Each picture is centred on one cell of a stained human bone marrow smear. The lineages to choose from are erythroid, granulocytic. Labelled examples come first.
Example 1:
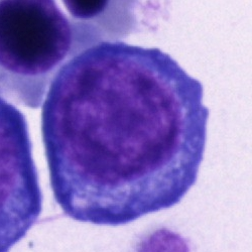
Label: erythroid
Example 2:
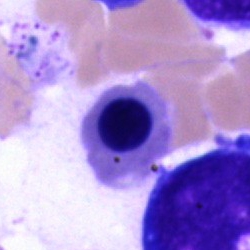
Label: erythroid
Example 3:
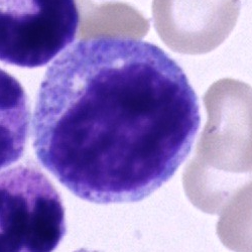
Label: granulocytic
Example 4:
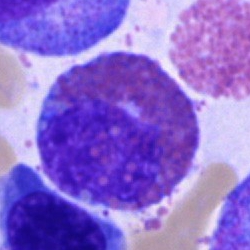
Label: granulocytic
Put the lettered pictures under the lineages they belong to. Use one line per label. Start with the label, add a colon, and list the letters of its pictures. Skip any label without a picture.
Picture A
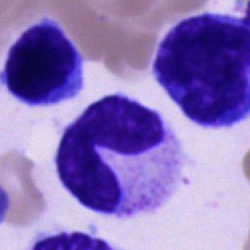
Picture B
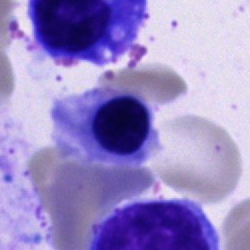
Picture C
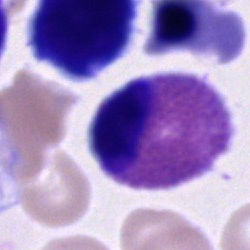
erythroid: B
granulocytic: A, C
